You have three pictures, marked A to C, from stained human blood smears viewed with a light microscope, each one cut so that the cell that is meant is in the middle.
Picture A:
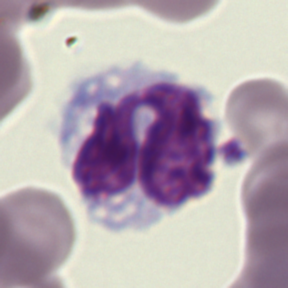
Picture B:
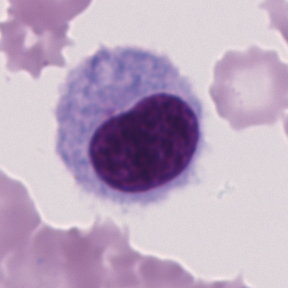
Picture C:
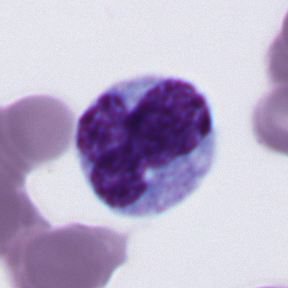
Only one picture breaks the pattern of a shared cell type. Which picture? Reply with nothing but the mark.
B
